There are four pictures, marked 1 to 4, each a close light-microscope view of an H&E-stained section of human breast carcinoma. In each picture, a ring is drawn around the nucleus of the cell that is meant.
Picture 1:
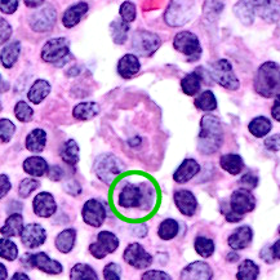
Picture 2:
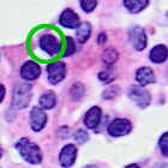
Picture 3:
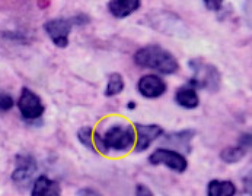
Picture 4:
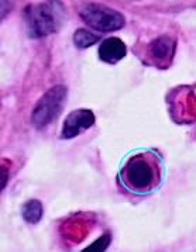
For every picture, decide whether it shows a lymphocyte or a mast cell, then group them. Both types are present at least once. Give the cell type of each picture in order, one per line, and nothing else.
lymphocyte
lymphocyte
lymphocyte
mast cell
